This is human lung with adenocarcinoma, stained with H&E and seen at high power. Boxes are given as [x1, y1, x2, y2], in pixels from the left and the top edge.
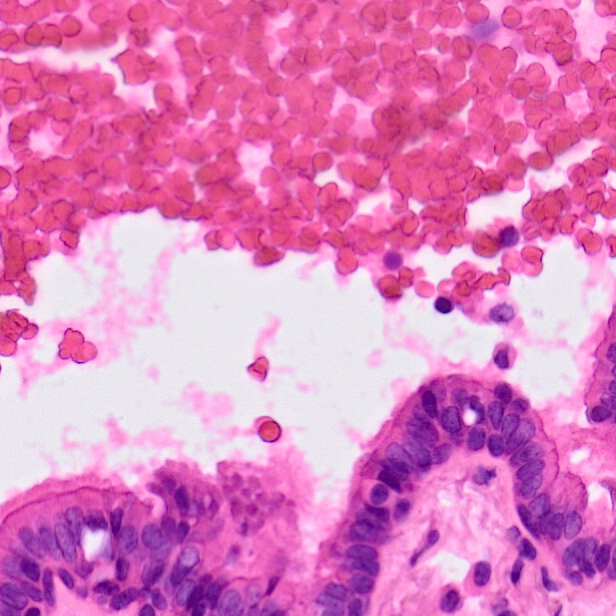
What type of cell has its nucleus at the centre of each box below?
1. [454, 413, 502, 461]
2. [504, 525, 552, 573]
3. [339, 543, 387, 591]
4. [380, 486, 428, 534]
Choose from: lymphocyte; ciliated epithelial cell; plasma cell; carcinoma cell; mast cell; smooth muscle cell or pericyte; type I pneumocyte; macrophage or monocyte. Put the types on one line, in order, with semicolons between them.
ciliated epithelial cell; lymphocyte; ciliated epithelial cell; ciliated epithelial cell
